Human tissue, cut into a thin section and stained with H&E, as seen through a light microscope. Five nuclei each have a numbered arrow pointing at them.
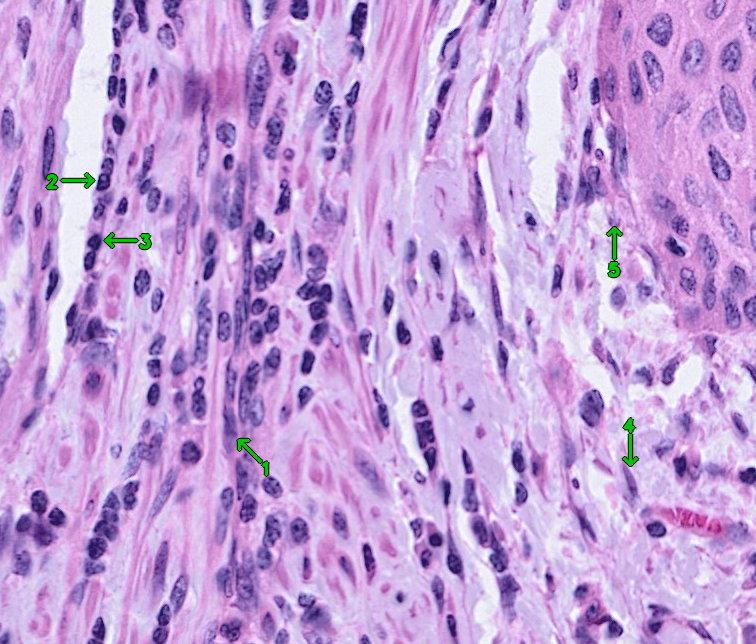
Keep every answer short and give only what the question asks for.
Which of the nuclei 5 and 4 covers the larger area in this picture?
4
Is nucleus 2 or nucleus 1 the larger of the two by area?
1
